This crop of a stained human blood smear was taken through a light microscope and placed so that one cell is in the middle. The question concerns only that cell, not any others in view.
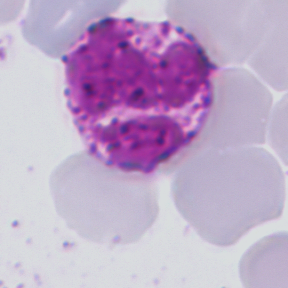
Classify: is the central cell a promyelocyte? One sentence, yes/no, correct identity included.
No, that would be a basophil, not a promyelocyte, for the cell at the centre.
